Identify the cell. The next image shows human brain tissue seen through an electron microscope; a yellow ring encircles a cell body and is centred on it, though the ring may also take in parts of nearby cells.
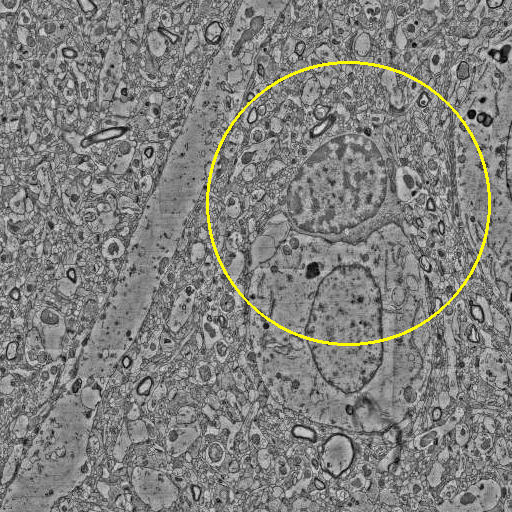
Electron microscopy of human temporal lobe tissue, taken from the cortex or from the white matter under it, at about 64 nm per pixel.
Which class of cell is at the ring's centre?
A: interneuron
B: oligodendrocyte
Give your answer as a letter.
B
